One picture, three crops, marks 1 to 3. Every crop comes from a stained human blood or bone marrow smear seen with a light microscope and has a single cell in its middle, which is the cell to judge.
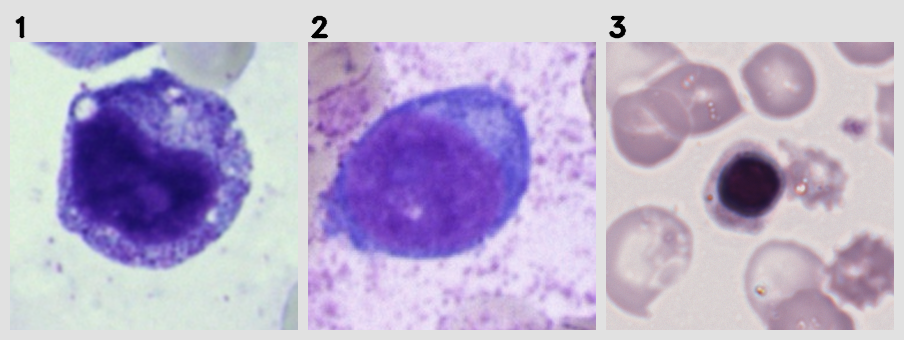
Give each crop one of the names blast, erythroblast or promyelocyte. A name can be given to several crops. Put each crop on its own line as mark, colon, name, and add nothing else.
1: promyelocyte
2: blast
3: erythroblast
